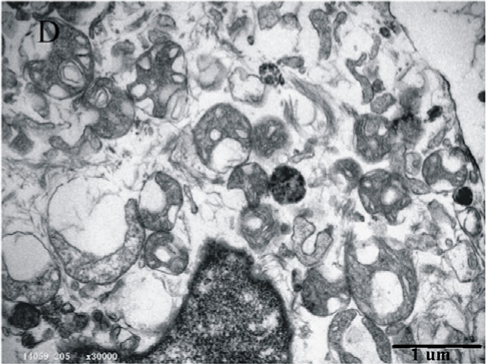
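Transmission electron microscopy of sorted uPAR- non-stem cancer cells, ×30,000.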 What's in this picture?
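The mitochondria are round to oval, bounded by a double membrane and contain curved internal cristae, several of them with pale, vacuolated-looking interiors. Between them the cytoplasm is pale and contains scattered membrane fragments and a few small dense bodies. At the lower middle edge a part of the nucleus with finely granular dense chromatin is seen.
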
